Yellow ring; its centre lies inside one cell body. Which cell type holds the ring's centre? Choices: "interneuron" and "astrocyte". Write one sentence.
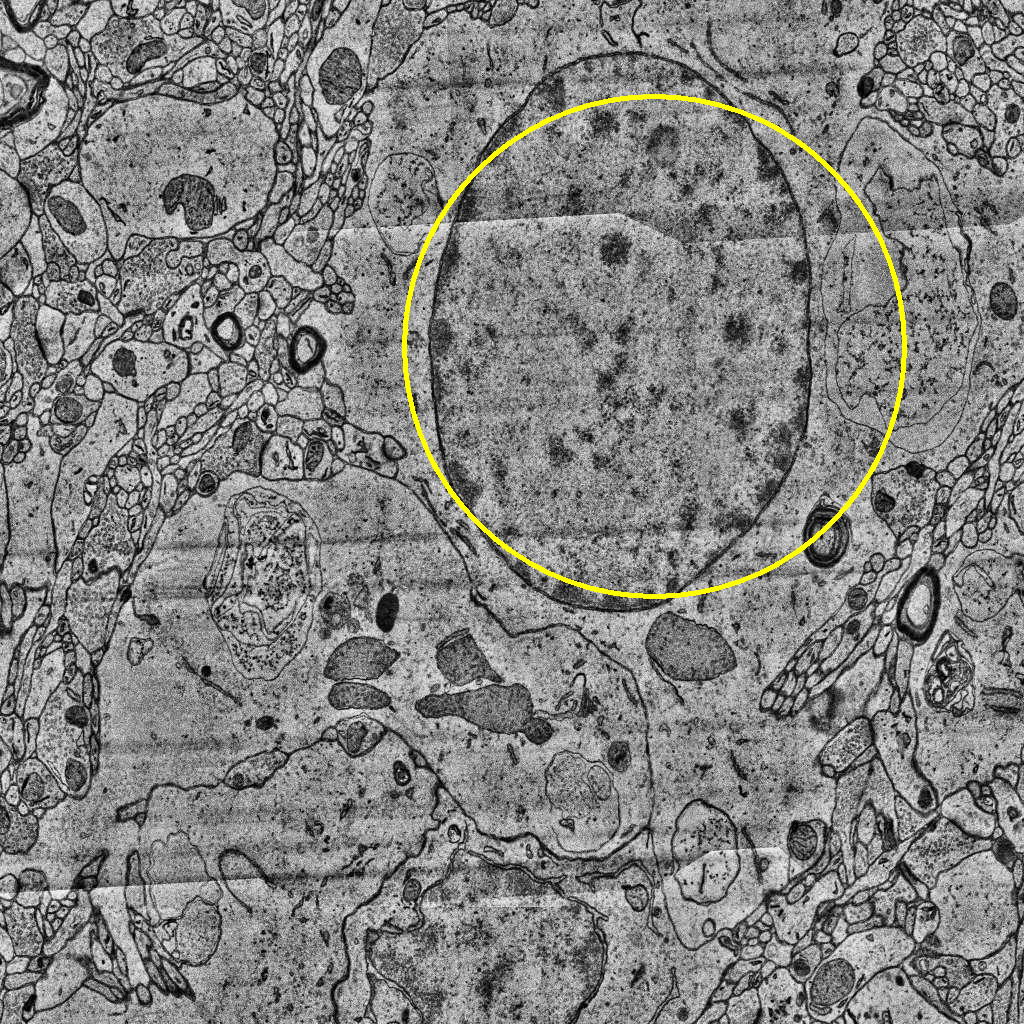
At the centre of the ring sits an astrocyte.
